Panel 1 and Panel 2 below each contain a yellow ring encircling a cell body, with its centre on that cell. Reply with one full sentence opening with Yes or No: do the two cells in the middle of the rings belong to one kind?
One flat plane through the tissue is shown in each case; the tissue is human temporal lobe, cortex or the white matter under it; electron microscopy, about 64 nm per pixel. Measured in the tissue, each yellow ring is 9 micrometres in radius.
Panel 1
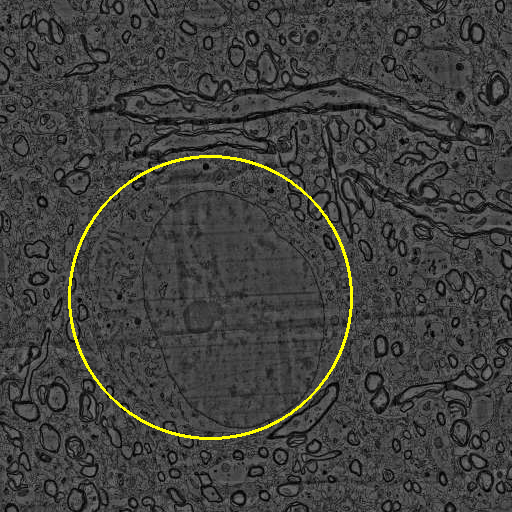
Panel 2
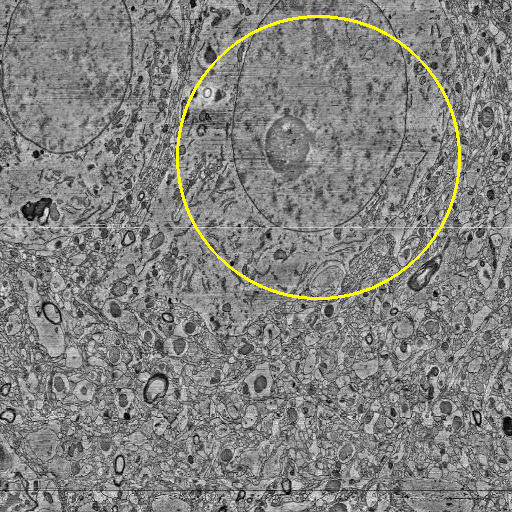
Yes, the cells at the middle of the Panel 1 ring and the Panel 2 ring are of one kind.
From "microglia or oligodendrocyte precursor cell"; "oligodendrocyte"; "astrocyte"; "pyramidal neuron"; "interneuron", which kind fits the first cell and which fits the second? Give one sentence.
The ring centre holds a pyramidal neuron in each of the two pictures.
